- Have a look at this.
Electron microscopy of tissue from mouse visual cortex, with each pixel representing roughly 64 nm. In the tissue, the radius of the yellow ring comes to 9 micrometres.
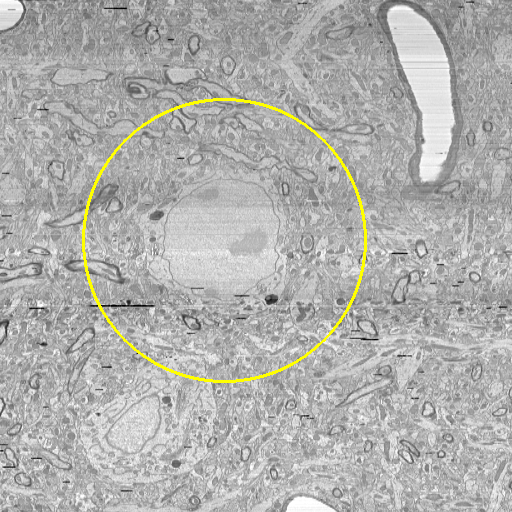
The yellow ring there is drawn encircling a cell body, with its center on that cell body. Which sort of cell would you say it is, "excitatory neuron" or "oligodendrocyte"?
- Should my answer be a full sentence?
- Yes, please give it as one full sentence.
For this picture, an excitatory neuron is the cell where the yellow ring has its center.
